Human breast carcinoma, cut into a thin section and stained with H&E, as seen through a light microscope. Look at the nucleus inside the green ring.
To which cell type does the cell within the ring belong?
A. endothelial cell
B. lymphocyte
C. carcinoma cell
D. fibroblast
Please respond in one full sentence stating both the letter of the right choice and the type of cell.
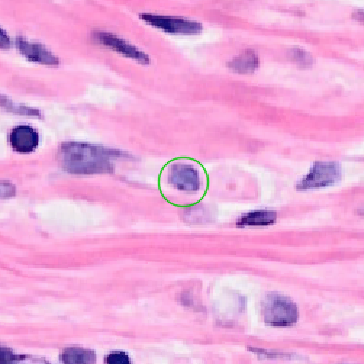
As stated in option B, the cell within the ring is a lymphocyte.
